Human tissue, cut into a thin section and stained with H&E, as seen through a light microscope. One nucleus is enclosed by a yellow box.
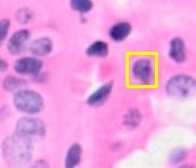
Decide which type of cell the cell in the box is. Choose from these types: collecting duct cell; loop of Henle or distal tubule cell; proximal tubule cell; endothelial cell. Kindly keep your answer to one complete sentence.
The classification of the cell in the box is as a loop of Henle or distal tubule cell.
